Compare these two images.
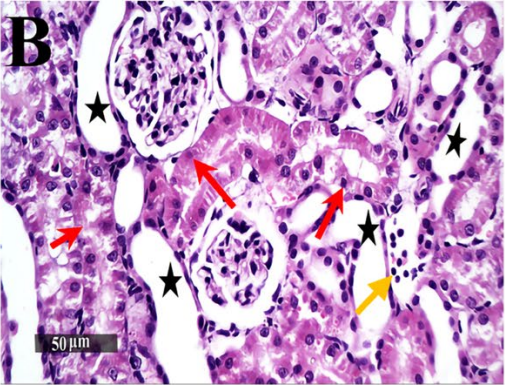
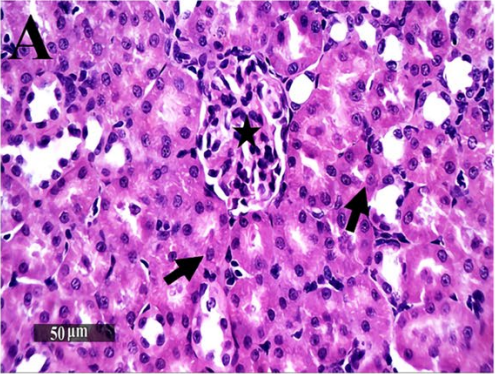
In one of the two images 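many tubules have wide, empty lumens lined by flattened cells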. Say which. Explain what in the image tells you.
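First image: several tubules are broad white spaces with a thin lining. Second image: tubules are tightly packed with tall pink lining cells and small lumens. So: the first image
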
